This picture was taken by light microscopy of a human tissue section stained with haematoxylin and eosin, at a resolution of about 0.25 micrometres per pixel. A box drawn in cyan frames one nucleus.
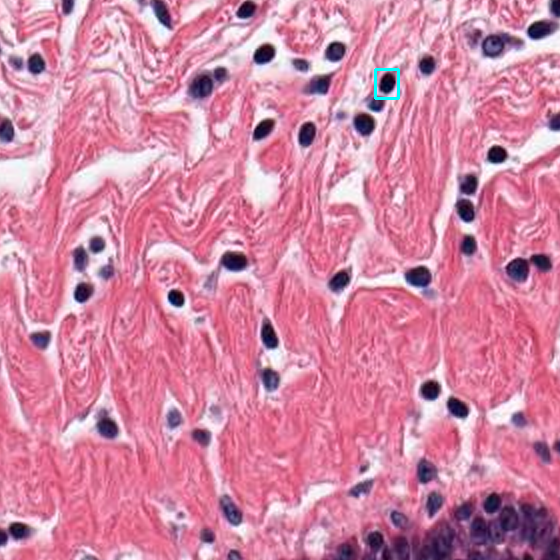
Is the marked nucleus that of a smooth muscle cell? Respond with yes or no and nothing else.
no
